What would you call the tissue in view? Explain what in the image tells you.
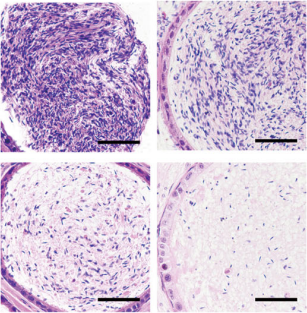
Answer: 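A large duct lumen filled with masses of small dark-stained elongated profiles. A thin epithelial wall lines the duct at the edges. Some lumens are pale with few contents. The answer: cauda epididymides.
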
